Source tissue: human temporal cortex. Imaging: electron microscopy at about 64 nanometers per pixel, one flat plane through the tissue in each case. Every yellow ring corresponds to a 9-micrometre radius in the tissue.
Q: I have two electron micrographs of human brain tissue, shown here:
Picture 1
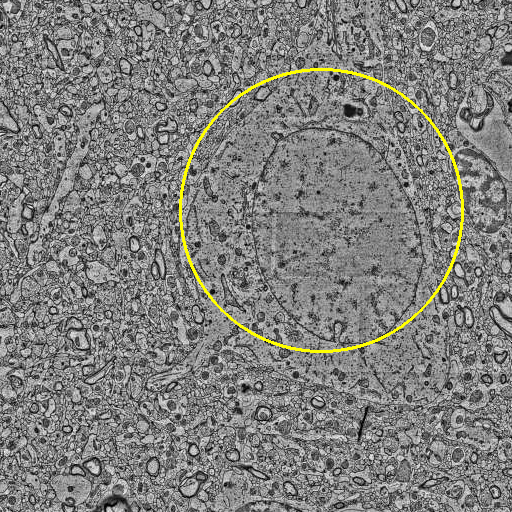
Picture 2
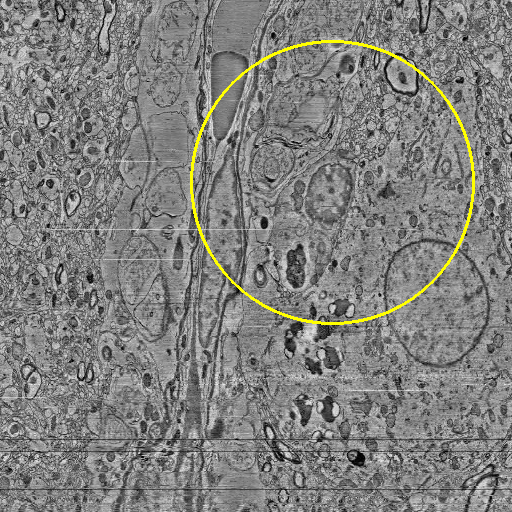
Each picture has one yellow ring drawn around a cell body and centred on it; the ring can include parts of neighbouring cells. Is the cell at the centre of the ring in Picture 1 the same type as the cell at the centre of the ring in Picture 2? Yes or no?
no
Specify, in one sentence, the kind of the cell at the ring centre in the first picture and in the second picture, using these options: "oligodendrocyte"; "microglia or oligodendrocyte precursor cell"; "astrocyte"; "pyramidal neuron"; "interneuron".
So the first is a pyramidal neuron, the second an oligodendrocyte.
